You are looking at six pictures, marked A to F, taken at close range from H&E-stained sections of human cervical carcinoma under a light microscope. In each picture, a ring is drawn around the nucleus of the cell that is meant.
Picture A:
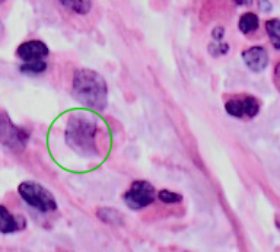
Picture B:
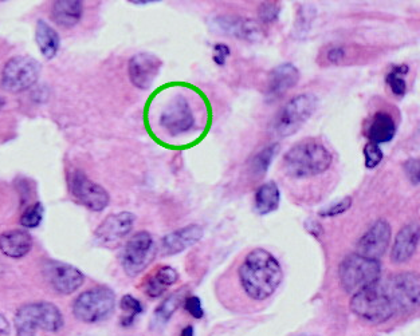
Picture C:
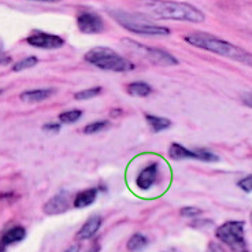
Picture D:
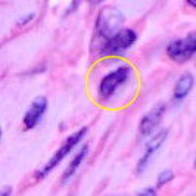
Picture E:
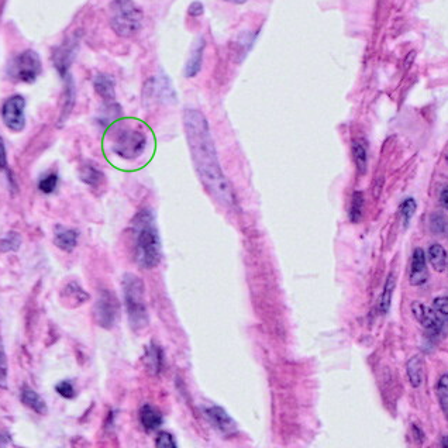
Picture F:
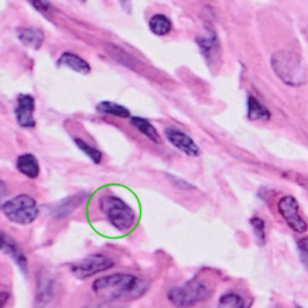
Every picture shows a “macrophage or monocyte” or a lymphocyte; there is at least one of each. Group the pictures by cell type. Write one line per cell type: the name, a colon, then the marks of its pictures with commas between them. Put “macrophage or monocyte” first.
macrophage or monocyte: A, B, E, F
lymphocyte: C, D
